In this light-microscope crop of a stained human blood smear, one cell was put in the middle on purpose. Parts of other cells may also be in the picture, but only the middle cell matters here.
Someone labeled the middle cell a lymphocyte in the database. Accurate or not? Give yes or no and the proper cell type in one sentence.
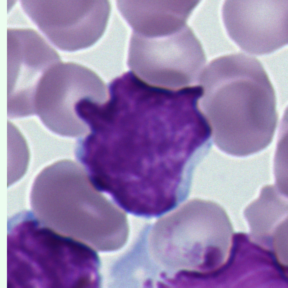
Yes, the middle of the crop is occupied by a lymphocyte.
